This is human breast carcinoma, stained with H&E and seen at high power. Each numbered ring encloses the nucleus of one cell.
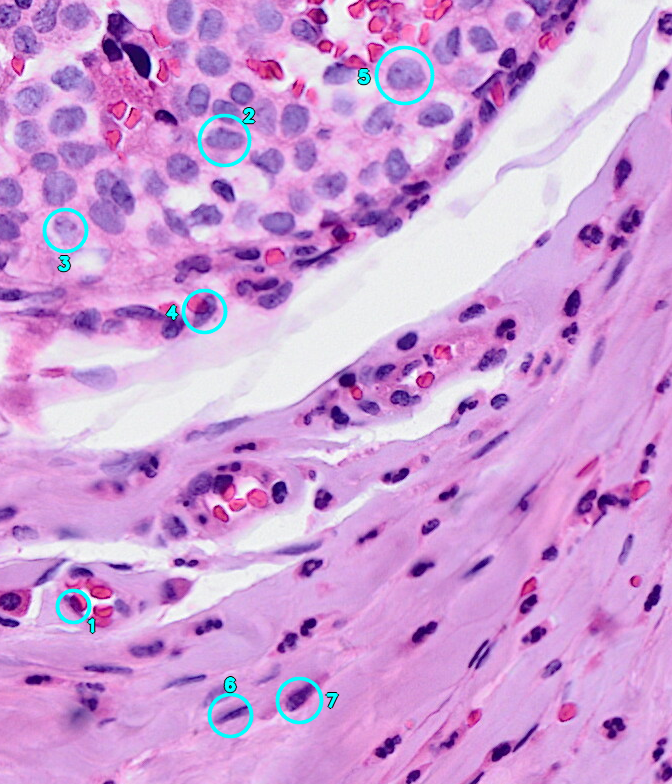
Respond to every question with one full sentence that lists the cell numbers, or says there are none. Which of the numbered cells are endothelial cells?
The cells that have been numbered 1 and 4 are endothelial cells.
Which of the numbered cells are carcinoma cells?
Cells 2, 3 and 5 are carcinoma cells by cell type.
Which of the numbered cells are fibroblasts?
It is cell 6, and no other numbered cell, that is a fibroblast.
